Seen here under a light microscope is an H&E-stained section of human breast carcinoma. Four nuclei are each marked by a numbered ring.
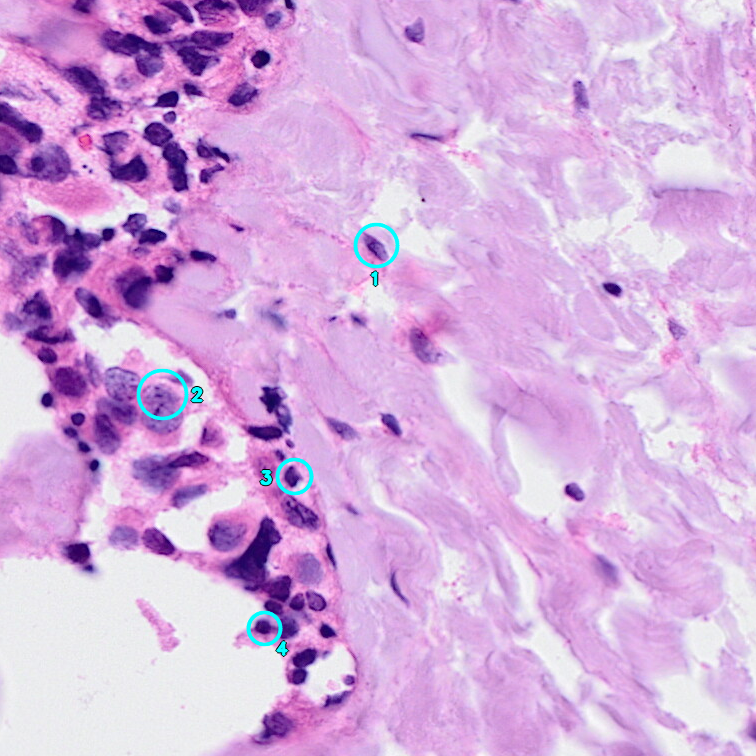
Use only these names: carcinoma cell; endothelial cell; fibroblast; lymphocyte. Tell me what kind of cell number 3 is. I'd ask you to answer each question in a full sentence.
Here, the cell given the number 3 is a lymphocyte.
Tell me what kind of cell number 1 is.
Cell 1 in the field is a fibroblast.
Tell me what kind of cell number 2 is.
As for number 2, that cell is a carcinoma cell.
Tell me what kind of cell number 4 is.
The label 4 in this section denotes a lymphocyte.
